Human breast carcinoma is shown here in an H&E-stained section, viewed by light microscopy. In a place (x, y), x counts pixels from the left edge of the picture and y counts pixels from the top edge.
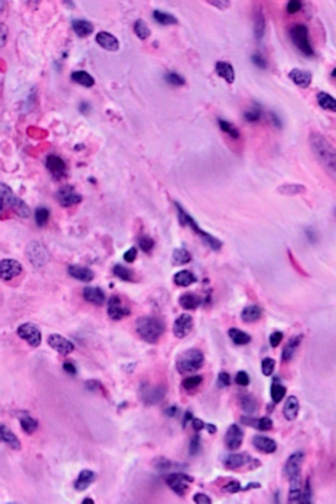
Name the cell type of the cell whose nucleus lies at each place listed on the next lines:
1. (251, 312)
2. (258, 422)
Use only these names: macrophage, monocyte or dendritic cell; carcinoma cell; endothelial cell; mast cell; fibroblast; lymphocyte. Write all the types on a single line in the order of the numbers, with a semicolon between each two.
mast cell; lymphocyte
